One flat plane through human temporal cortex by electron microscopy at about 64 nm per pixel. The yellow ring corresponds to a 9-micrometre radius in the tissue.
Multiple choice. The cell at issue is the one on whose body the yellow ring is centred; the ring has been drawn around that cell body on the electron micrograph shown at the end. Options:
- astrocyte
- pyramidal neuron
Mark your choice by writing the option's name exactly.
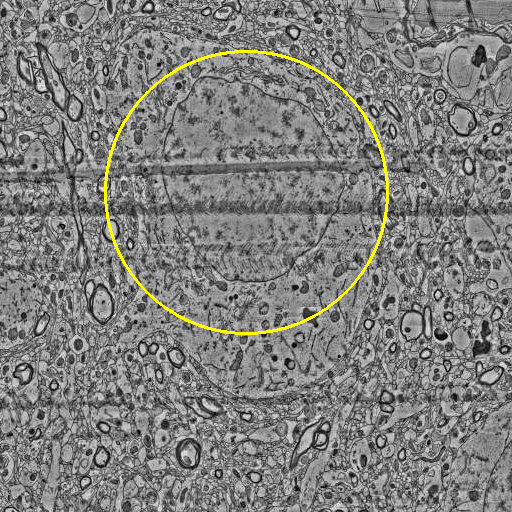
pyramidal neuron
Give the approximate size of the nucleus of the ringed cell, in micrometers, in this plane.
The nucleus works out at approximately 14 by 11 micrometres in this plane.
